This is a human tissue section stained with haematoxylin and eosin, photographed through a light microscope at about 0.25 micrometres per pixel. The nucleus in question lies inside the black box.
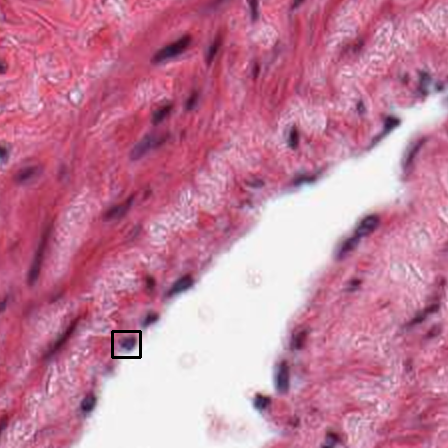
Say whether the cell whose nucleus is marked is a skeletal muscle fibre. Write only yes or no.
no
